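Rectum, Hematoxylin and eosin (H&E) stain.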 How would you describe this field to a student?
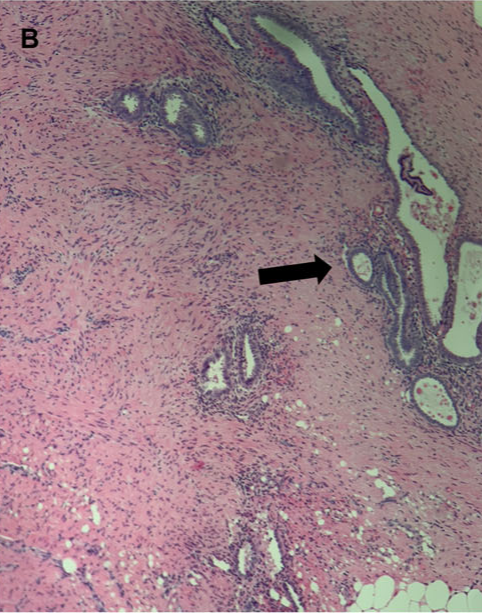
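This is a section of rectal wall that contains foci of endometriosis: small glands embedded deep in the wall rather than at the mucosal surface. The glands are round to elongated and lined by a single layer of columnar cells with dark, crowded nuclei. Around each gland is a cuff of densely cellular, purple-staining stroma, sharply distinct from the surrounding tissue. That surrounding tissue is pink smooth muscle made of spindle cells running in sweeping bundles.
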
